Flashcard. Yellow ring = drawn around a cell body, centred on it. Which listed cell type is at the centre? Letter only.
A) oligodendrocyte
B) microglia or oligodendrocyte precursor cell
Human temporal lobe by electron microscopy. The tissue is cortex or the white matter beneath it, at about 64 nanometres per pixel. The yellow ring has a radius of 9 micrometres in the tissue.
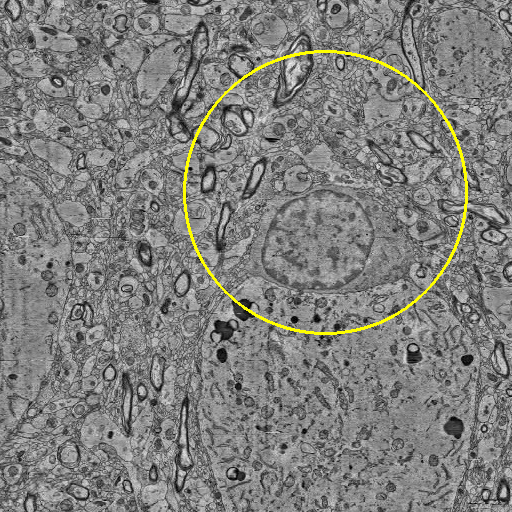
A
